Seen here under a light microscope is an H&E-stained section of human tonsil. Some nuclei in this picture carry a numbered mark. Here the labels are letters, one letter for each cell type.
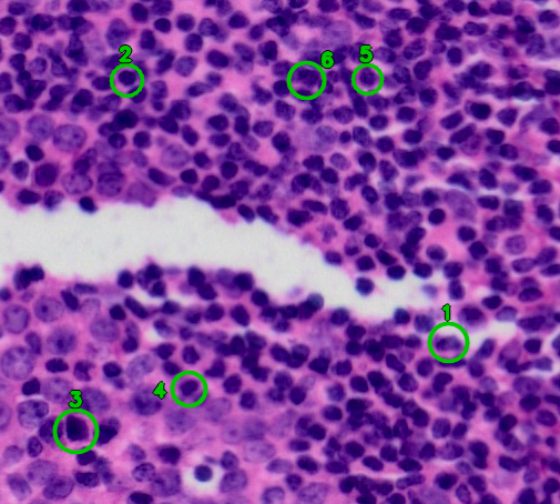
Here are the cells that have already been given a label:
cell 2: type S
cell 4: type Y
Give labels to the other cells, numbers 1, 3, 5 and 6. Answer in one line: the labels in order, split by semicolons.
type S; type Y; type S; type S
